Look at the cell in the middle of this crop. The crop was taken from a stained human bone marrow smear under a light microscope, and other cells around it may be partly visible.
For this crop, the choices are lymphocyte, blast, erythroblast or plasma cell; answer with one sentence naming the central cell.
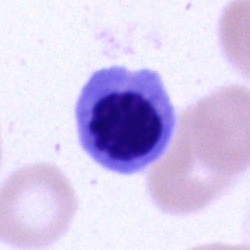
In short, the cell at the center is an erythroblast.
